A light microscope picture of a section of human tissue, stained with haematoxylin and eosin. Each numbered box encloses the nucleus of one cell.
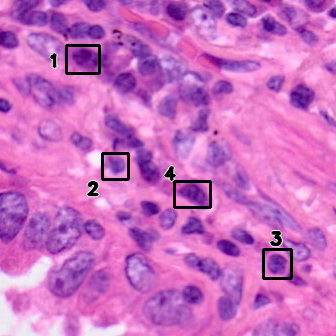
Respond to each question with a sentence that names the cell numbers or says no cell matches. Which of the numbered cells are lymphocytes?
Within this tissue, the cells numbered 2 and 3 are lymphocytes.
